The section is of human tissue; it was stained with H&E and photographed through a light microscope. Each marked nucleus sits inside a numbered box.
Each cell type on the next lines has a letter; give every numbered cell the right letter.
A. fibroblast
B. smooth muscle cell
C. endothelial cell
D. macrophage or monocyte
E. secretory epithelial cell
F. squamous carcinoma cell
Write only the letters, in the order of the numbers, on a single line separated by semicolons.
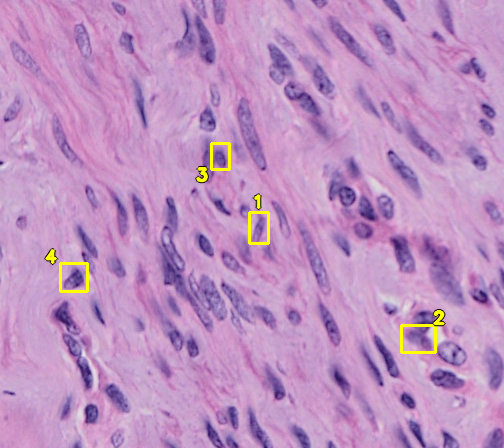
B; C; B; A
